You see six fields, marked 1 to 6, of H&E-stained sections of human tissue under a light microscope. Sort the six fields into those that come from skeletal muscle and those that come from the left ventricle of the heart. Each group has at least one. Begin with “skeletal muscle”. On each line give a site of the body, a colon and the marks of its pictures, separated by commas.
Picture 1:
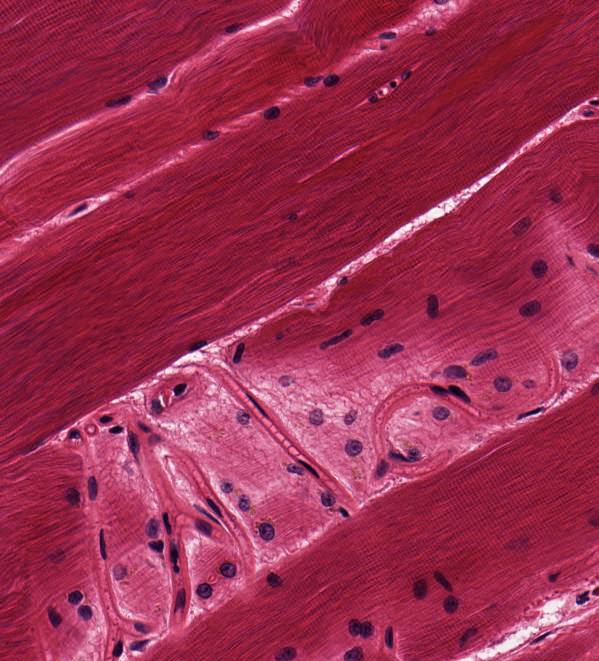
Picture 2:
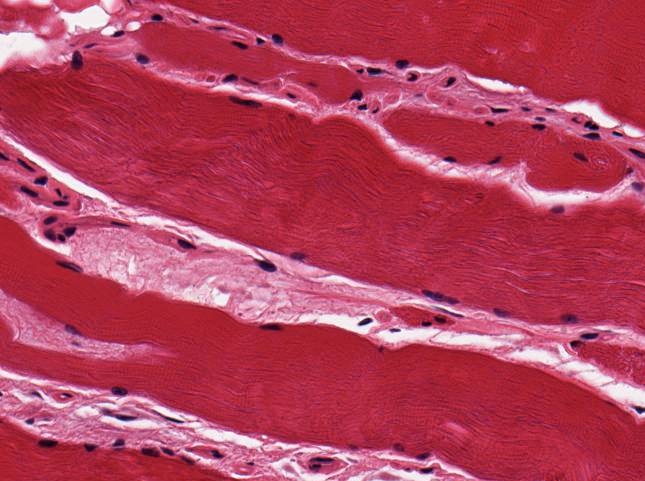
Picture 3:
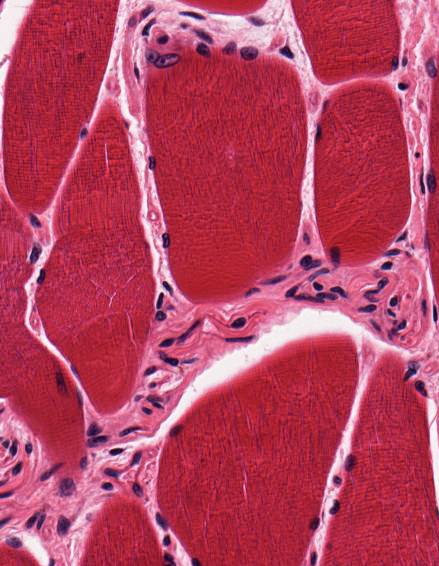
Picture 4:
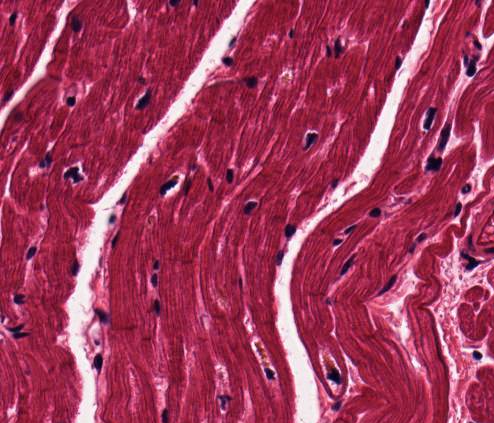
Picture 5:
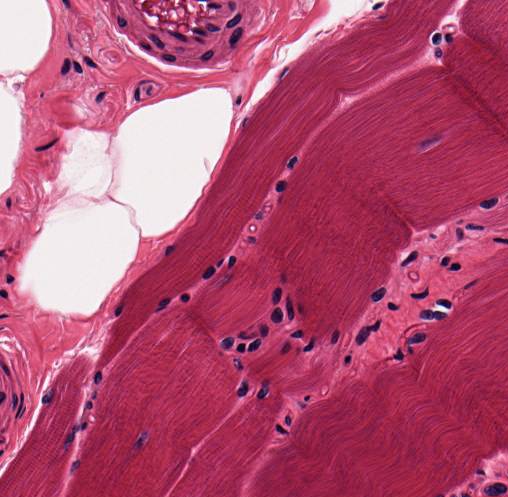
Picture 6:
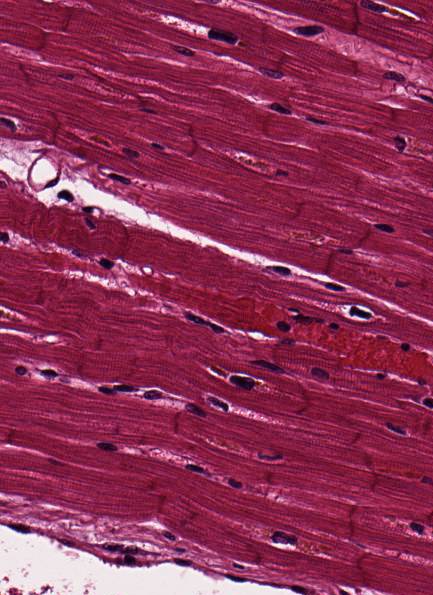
skeletal muscle: 1, 2, 3, 5
left ventricle of the heart: 4, 6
